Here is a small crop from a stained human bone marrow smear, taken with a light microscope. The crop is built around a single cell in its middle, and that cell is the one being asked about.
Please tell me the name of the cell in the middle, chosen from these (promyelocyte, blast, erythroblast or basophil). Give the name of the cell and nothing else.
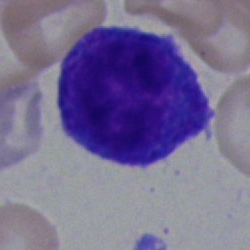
promyelocyte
